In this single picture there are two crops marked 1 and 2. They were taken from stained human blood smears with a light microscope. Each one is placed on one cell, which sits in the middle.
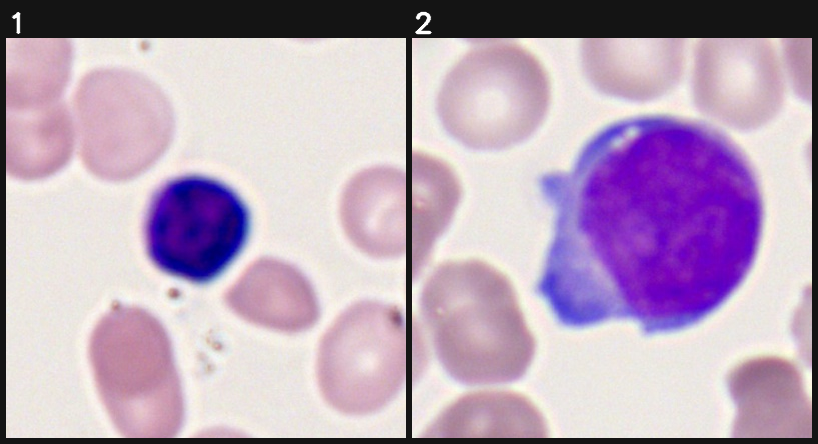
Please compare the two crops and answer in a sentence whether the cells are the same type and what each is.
No, the middle of crop 1 shows a lymphocyte, and the middle of crop 2 shows a myeloblast.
